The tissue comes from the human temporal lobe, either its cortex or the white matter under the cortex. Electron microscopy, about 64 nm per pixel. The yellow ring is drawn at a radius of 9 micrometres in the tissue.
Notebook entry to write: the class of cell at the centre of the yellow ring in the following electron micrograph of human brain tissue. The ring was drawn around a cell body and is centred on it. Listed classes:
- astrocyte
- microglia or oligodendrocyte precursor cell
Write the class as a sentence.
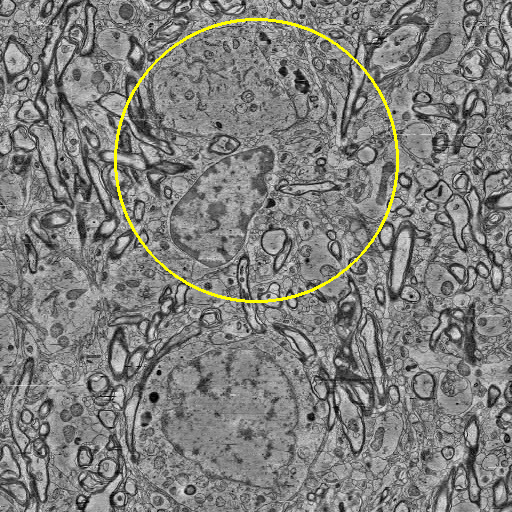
The yellow ring sits on a microglial cell or oligodendrocyte precursor cell.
